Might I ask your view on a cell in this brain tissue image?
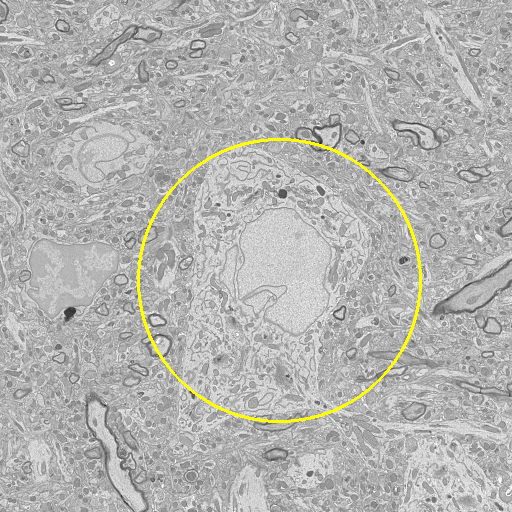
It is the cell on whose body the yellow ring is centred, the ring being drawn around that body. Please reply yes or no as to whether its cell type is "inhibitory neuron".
yes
